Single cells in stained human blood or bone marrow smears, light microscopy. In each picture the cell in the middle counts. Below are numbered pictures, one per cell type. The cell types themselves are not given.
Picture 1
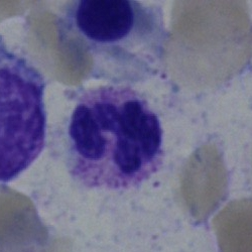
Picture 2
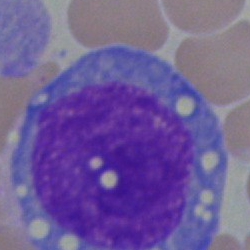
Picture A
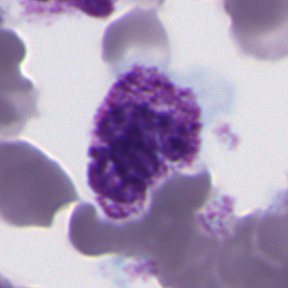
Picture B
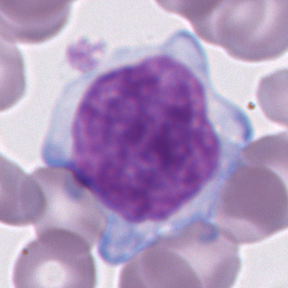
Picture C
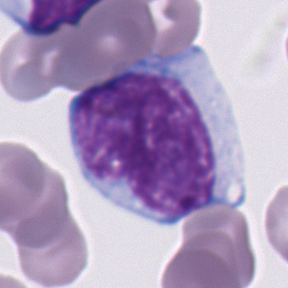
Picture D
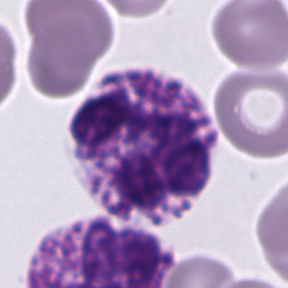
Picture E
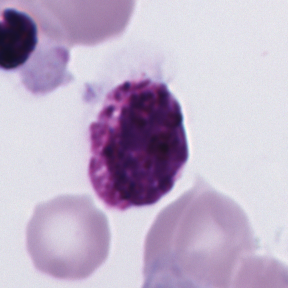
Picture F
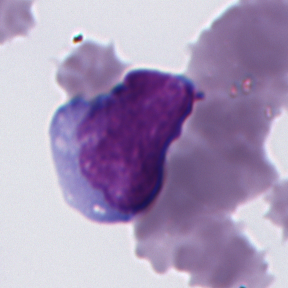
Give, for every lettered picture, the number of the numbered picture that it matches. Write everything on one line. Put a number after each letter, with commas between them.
A 1, B 2, C 2, D 1, E 1, F 2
